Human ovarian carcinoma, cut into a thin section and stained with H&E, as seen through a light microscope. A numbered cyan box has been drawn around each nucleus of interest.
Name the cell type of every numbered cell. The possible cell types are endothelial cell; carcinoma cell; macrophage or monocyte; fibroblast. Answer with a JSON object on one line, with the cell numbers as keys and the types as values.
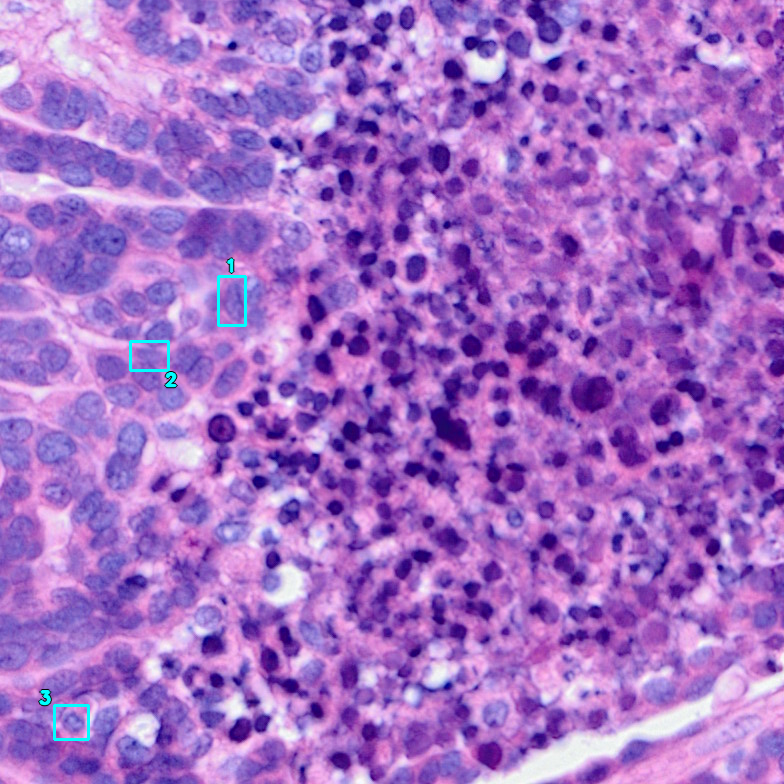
{"1": "carcinoma cell", "2": "carcinoma cell", "3": "macrophage or monocyte"}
